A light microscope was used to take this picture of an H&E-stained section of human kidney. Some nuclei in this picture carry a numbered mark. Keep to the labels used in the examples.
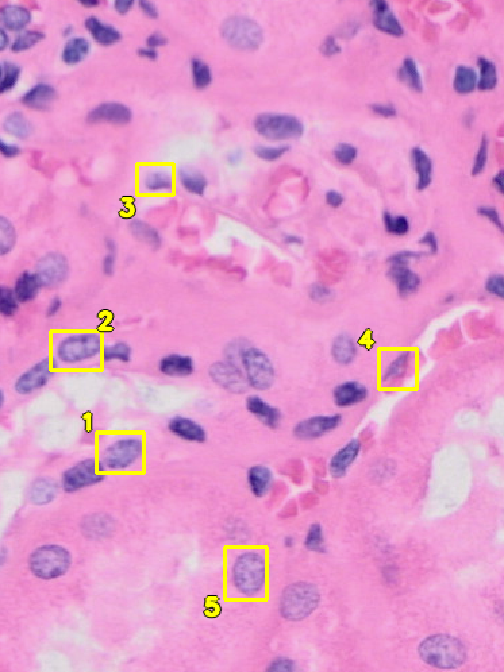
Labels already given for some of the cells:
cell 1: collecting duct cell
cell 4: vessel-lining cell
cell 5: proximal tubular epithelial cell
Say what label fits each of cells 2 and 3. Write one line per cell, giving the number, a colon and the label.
2: collecting duct cell
3: vessel-lining cell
